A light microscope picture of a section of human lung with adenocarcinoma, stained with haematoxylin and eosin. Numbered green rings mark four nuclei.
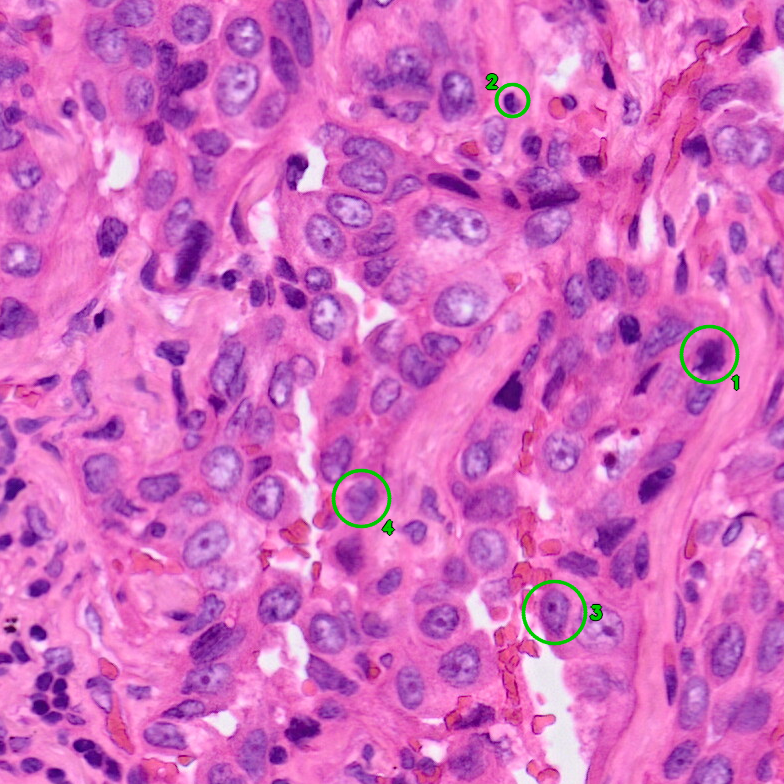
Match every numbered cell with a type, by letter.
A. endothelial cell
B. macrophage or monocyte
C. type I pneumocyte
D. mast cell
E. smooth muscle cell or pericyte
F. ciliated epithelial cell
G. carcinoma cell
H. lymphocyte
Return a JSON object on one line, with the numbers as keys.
{"1": "G", "2": "H", "3": "G", "4": "G"}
